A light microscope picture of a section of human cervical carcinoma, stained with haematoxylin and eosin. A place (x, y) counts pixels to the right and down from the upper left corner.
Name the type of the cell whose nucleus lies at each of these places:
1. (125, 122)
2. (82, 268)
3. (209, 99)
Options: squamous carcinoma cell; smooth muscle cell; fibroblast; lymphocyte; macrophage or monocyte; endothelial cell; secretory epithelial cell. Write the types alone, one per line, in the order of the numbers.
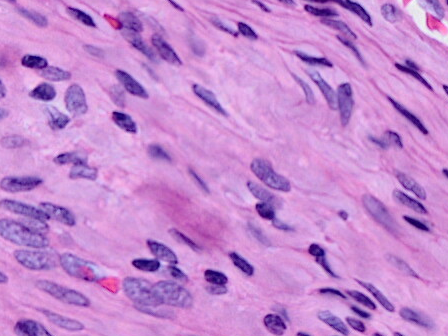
lymphocyte
endothelial cell
fibroblast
